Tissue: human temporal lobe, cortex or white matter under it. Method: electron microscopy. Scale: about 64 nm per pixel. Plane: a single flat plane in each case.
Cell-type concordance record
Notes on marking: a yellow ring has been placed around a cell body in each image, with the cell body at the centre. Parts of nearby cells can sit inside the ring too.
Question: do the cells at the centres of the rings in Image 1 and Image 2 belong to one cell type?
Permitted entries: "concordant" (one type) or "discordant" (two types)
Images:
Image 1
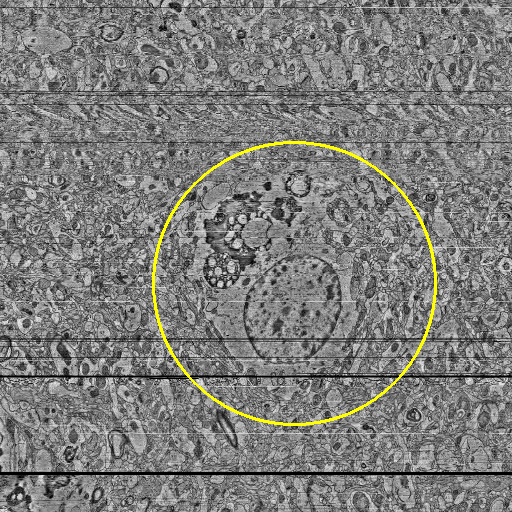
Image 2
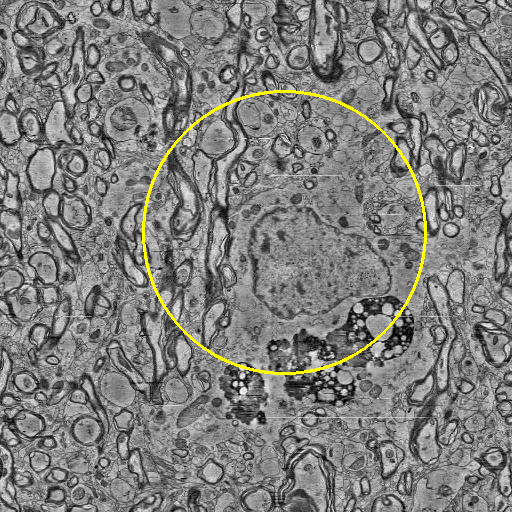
concordant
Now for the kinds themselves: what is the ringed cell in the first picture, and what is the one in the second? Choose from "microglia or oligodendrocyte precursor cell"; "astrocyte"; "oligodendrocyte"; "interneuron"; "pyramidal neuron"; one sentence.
Both cells are the same kind, each one being an astrocyte.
